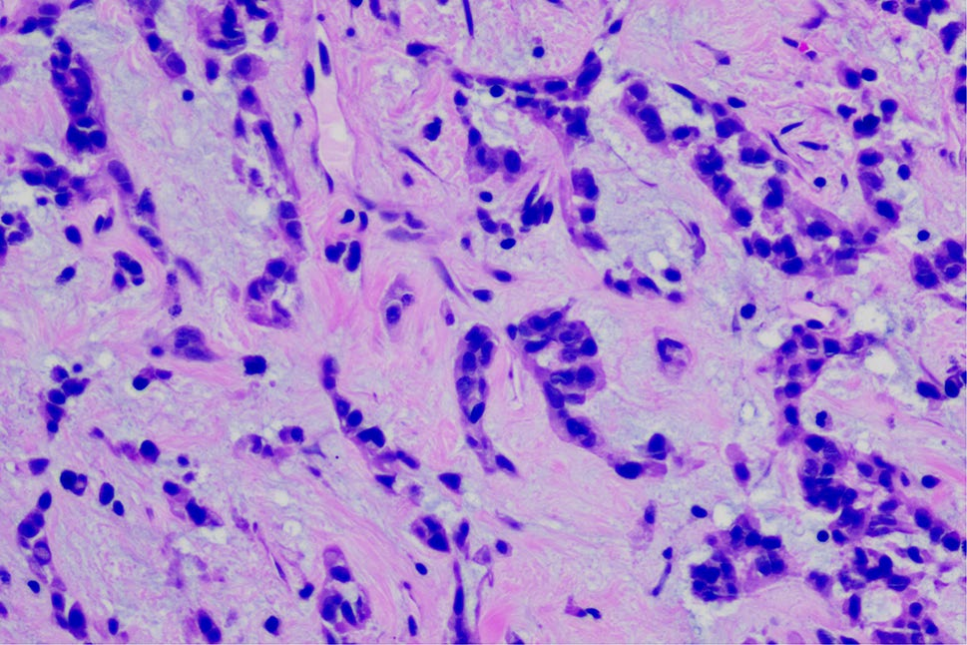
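This is a tumor made of small tumor cells lying scattered within a loose, pale bluish mucoid background crossed by pink fibrous strands. The cells form thin cords, short strands and small clusters, with some cells lying singly in the matrix. The cytoplasm is scant and purplish. The pale matrix between the cell groups looks wispy and contains small clear spaces.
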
